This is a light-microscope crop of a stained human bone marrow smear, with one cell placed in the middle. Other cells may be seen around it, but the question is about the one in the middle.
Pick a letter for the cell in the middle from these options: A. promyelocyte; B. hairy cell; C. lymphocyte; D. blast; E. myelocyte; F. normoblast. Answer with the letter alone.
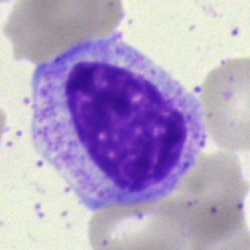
E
